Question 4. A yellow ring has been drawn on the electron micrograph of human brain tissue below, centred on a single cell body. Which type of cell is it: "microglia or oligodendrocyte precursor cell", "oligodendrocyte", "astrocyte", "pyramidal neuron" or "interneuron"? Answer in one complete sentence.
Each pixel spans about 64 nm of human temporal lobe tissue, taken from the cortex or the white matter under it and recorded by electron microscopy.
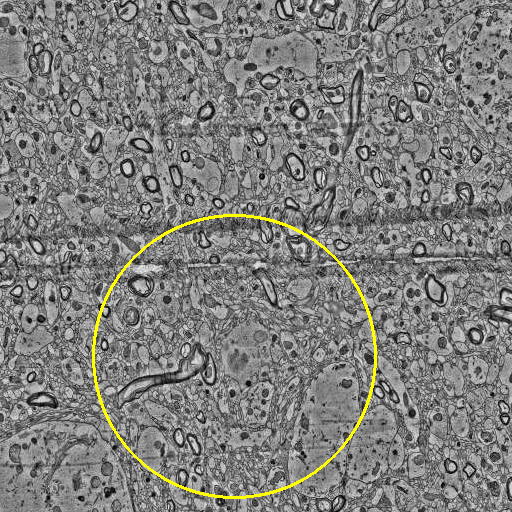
This cell body belongs to an oligodendrocyte.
